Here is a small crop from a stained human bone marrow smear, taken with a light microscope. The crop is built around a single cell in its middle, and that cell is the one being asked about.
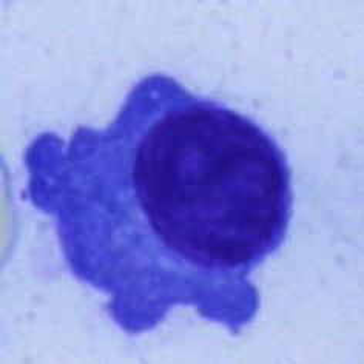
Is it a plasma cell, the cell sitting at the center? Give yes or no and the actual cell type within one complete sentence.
Yes, the cell in the centre is a plasma cell.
